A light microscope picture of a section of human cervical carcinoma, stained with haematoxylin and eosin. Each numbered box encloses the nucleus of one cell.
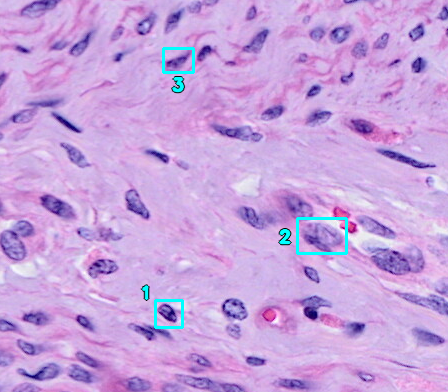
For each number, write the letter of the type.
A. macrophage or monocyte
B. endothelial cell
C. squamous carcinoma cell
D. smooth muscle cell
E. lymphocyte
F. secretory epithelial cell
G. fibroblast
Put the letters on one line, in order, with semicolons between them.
E; B; D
